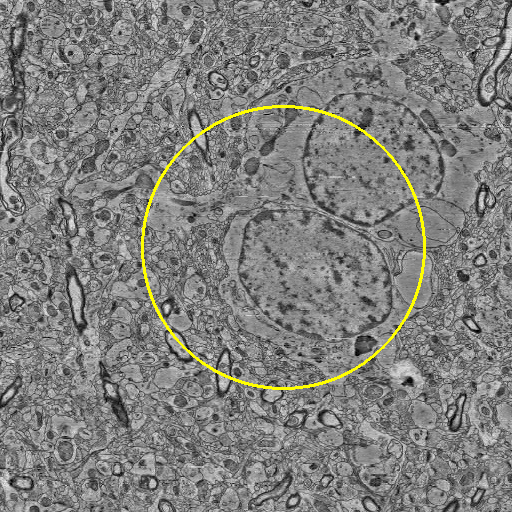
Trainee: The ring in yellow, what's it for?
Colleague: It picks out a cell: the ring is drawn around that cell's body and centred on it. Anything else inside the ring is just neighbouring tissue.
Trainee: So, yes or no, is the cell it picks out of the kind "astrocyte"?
yes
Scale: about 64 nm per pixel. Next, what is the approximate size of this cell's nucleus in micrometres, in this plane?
Roughly 11 micrometres by 8 micrometres, in this plane.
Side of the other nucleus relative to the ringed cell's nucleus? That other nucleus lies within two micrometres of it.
The other nucleus lies above it in the picture.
